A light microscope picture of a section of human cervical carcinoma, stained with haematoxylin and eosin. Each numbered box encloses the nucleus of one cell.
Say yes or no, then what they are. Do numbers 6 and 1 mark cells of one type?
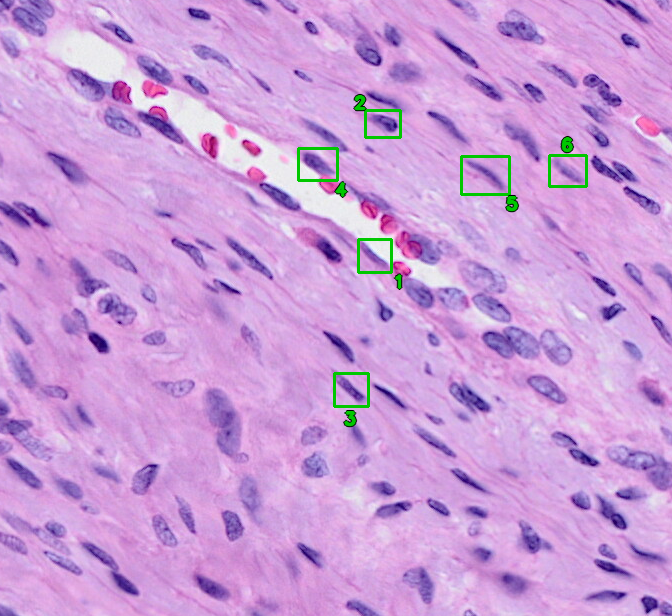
No, that's wrong; cell 6 is a fibroblast and cell 1 is an endothelial cell.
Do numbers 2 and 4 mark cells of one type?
No, cell 2 here is a fibroblast, and cell 4 here is an endothelial cell.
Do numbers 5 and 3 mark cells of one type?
Yes, cells 5 and 3 are both termed fibroblasts.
